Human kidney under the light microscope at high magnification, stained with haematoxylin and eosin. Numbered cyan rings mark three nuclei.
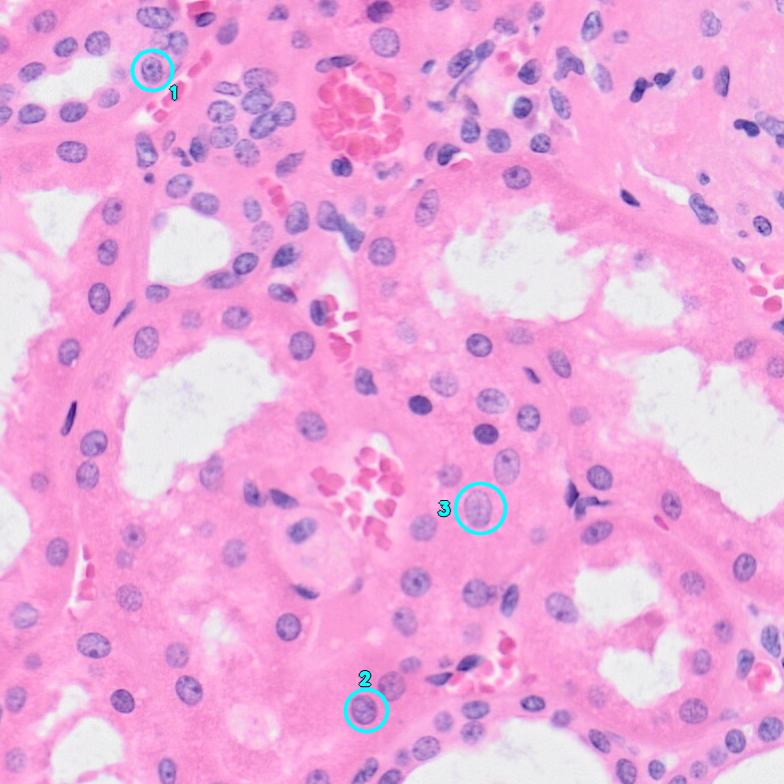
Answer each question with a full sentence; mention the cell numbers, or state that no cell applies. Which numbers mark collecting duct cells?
Only the nucleus marked 1 is that of a collecting duct cell.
